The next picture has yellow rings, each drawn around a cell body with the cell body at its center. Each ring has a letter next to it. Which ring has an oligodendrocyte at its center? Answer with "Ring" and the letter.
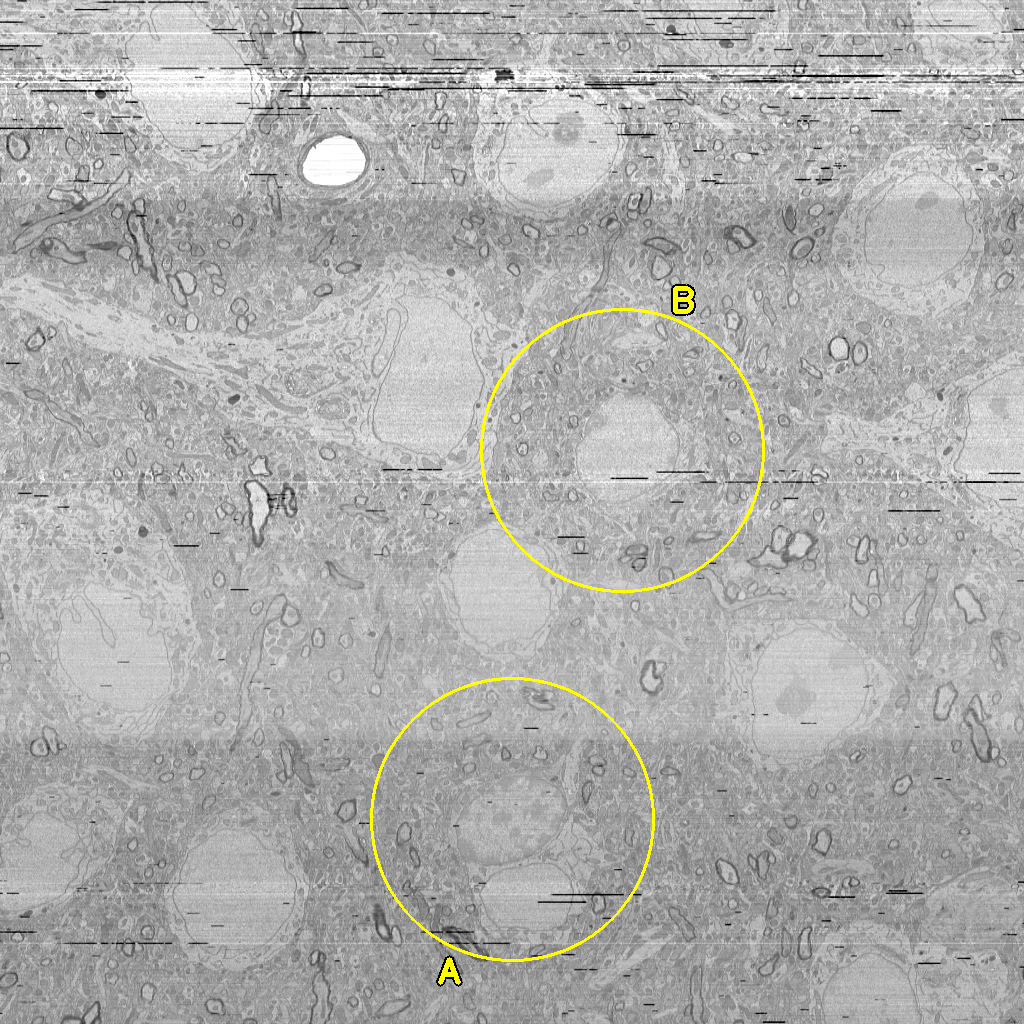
Ring A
